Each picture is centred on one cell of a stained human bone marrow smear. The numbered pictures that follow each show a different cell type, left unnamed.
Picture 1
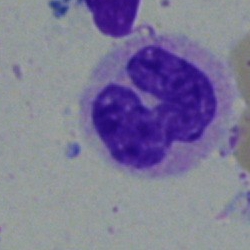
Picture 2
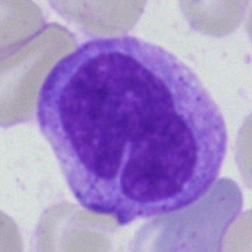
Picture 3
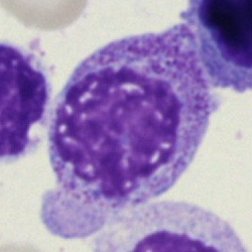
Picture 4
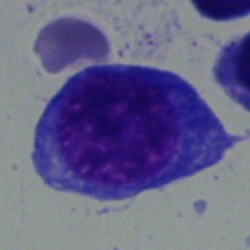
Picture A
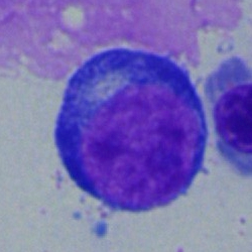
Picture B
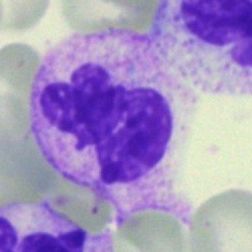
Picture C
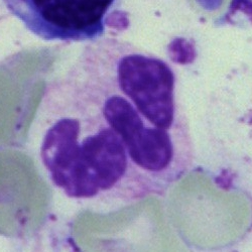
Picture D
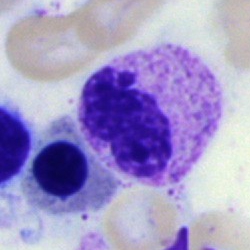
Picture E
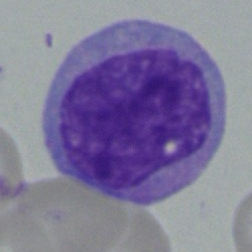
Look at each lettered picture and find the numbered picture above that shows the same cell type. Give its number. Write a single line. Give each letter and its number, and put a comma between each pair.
A 4, B 1, C 1, D 1, E 2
